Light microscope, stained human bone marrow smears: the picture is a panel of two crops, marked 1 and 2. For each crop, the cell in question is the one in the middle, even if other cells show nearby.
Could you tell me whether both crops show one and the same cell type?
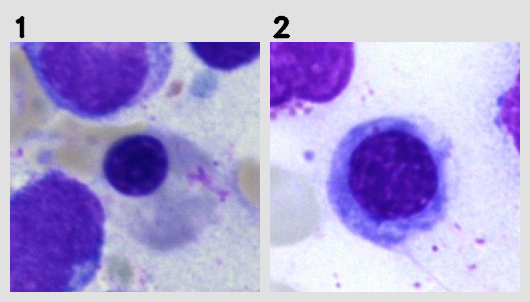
yes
